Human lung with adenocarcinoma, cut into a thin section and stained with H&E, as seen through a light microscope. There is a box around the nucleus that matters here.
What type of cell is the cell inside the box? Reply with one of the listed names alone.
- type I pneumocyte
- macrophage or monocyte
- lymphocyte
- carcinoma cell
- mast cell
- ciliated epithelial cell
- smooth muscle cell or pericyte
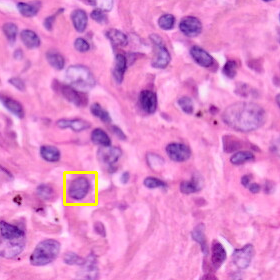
mast cell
